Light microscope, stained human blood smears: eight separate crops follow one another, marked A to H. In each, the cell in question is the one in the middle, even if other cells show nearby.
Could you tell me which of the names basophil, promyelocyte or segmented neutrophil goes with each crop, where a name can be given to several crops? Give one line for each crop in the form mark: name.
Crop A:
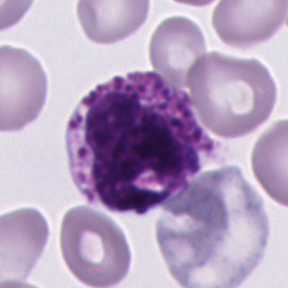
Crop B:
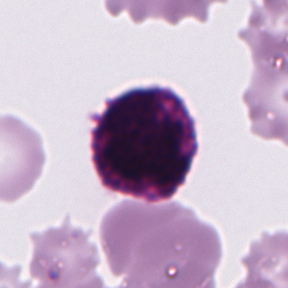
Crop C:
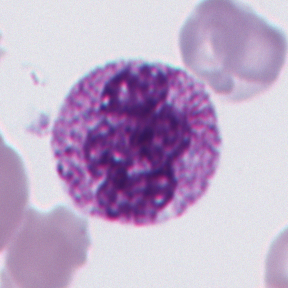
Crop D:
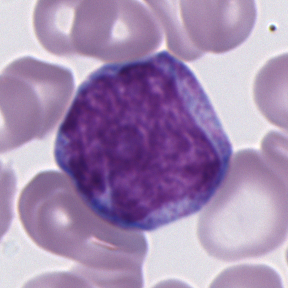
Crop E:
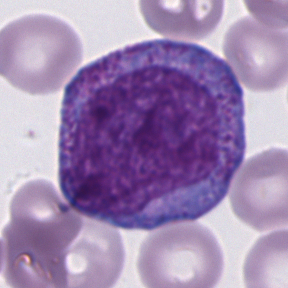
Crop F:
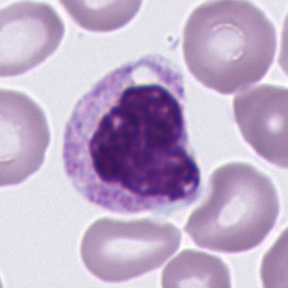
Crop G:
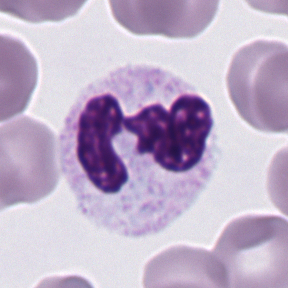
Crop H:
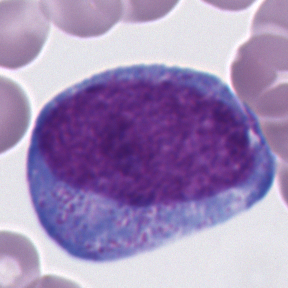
A: basophil
B: basophil
C: segmented neutrophil
D: promyelocyte
E: promyelocyte
F: segmented neutrophil
G: segmented neutrophil
H: promyelocyte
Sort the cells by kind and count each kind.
segmented neutrophil: 3
promyelocyte: 3
basophil: 2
